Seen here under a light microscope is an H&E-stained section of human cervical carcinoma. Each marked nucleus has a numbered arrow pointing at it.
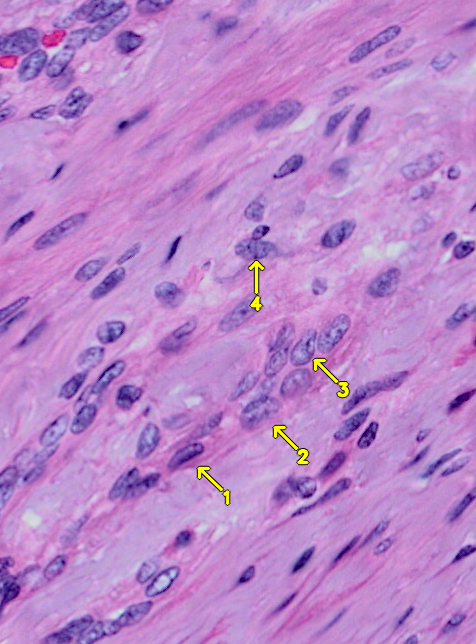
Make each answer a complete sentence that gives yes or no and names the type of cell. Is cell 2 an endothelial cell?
Yes, the one with the number 2 is an endothelial cell.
